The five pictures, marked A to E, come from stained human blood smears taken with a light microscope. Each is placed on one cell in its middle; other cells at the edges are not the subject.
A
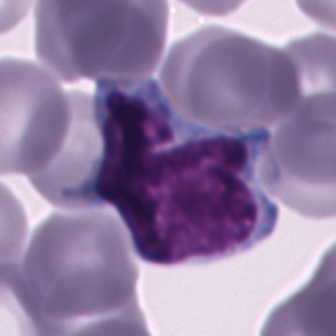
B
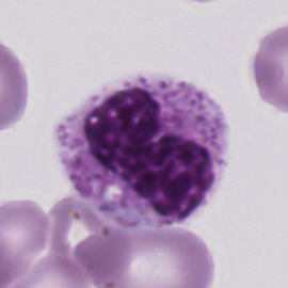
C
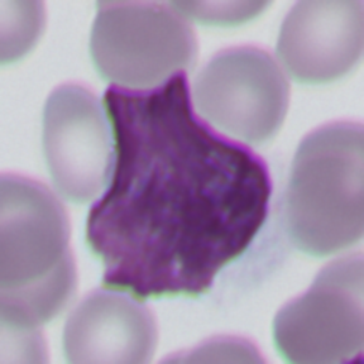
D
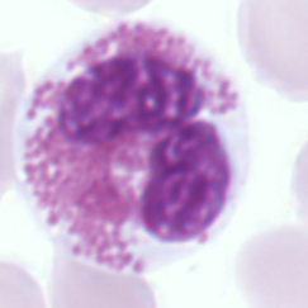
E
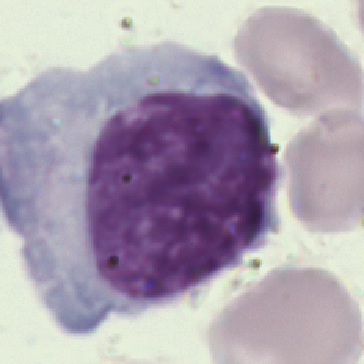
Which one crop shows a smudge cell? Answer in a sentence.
Look at crop C; that is the one with a smudge cell in its center.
